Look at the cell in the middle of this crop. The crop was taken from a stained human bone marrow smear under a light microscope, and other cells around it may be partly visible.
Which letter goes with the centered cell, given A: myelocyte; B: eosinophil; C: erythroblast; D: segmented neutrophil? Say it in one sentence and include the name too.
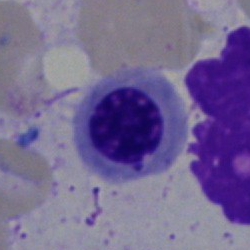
The one to choose is option C, as the cell in the middle is an erythroblast.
